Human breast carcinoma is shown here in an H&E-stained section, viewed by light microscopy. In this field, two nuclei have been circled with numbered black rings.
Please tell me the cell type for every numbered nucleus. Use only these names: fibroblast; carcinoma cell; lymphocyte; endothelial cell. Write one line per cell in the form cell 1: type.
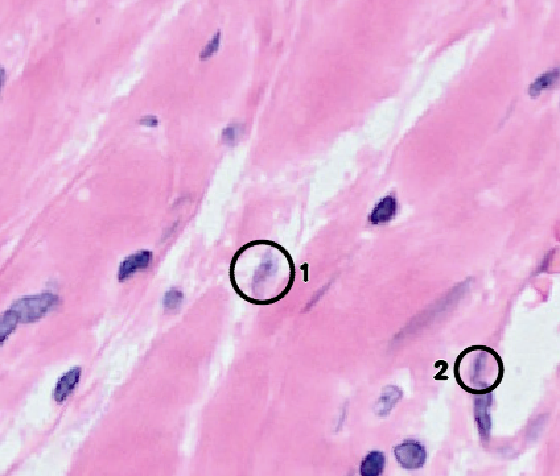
cell 1: fibroblast
cell 2: endothelial cell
